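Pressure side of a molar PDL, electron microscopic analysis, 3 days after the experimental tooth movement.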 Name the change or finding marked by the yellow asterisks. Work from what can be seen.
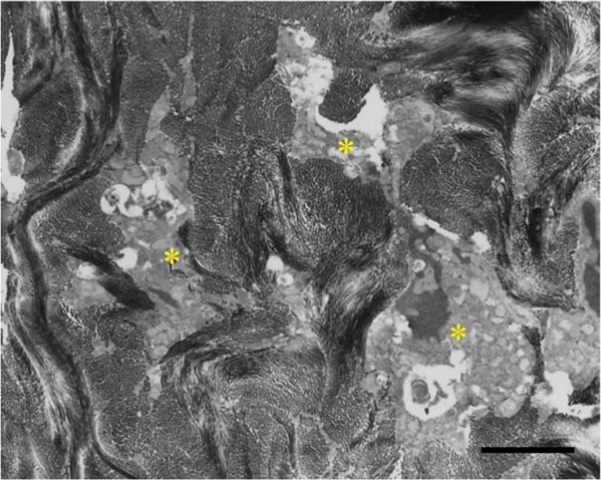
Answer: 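Each asterisk sits on an irregular cell body full of round pale vacuoles of different sizes. The cells lie between dense bundles of fibrils.
Dead periodontal fibroblasts.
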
